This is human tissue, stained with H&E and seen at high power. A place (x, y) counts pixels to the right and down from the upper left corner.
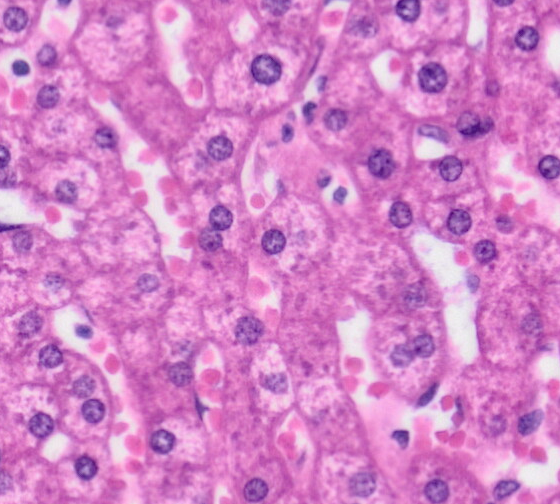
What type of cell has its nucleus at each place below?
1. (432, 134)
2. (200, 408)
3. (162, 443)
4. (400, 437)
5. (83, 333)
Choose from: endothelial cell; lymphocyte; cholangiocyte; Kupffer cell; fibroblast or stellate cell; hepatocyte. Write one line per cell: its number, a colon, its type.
1: Kupffer cell
2: endothelial cell
3: hepatocyte
4: lymphocyte
5: lymphocyte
